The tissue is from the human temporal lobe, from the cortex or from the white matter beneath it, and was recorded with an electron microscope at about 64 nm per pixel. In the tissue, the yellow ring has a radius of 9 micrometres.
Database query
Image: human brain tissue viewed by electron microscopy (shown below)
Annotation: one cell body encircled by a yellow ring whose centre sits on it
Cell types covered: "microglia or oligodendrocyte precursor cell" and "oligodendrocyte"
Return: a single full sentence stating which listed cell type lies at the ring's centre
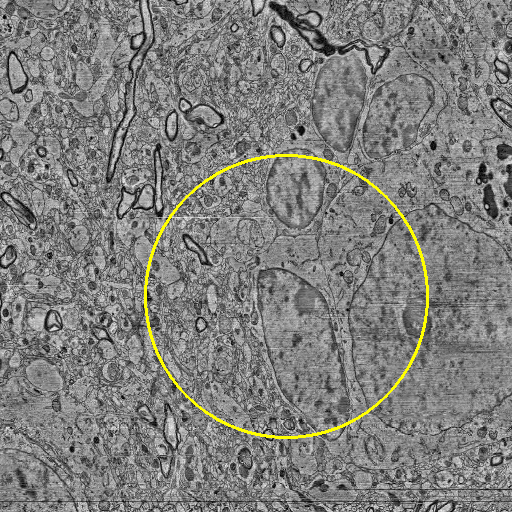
In the image, the cell lying at the ring's centre is a microglial cell or oligodendrocyte precursor cell.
